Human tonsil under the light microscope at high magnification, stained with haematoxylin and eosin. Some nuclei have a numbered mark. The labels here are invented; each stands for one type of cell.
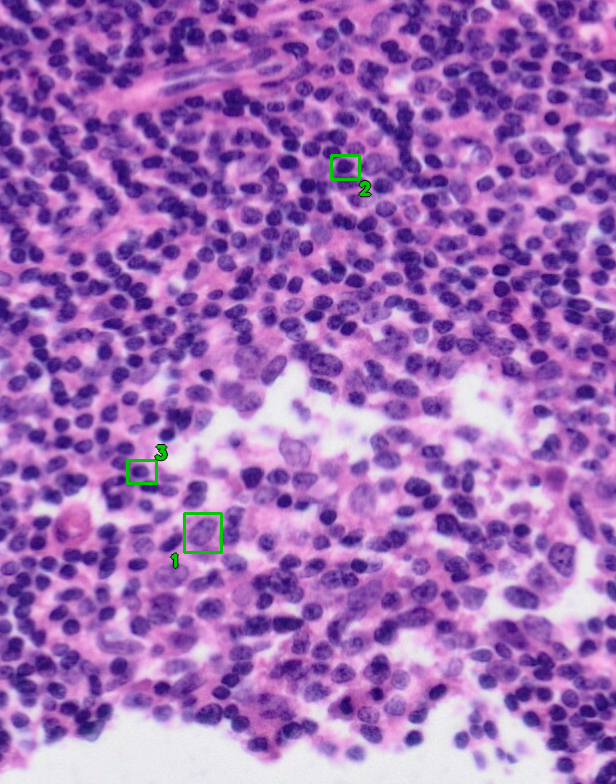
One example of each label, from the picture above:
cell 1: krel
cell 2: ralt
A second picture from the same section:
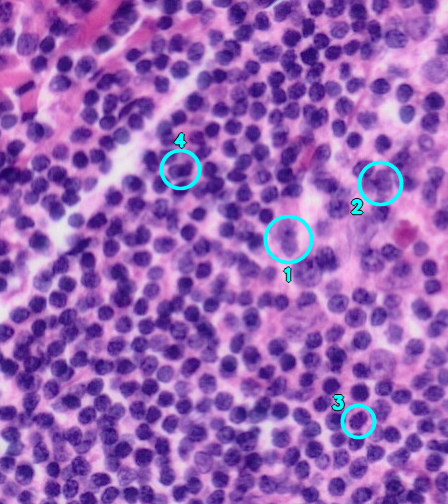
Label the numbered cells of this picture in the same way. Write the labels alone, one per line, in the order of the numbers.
krel
krel
ralt
ralt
